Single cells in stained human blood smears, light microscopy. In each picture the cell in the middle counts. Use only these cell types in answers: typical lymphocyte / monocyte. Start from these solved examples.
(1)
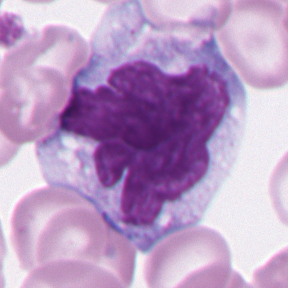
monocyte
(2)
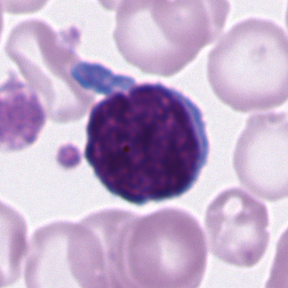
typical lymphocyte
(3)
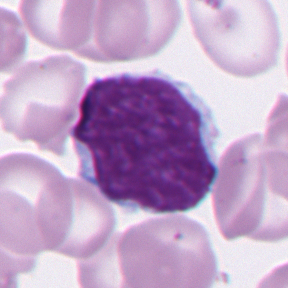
typical lymphocyte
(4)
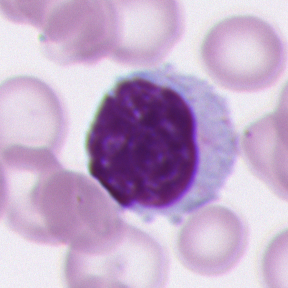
typical lymphocyte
